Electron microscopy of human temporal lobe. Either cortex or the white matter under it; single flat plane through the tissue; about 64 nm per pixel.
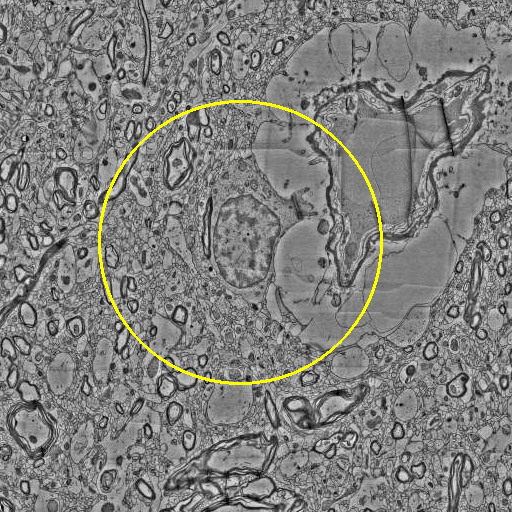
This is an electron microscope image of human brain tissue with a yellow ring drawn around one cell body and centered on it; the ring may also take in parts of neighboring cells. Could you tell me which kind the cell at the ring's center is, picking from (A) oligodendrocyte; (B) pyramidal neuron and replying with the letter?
A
